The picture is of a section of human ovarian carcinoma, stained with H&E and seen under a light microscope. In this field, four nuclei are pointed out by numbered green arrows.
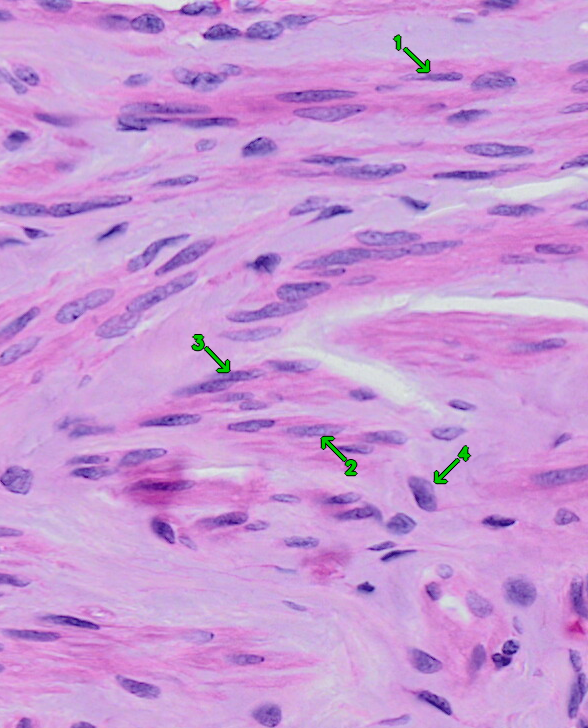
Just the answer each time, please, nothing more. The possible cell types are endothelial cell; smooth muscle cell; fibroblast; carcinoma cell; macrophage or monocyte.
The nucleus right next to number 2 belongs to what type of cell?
smooth muscle cell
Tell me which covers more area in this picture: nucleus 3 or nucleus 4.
4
